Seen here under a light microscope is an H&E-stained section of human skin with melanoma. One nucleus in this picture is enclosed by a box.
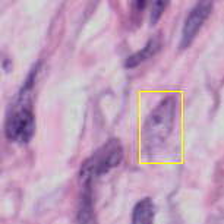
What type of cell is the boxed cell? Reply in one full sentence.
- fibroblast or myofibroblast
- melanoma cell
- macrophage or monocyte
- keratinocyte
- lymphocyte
In the context of this tissue, the boxed cell is a fibroblast or myofibroblast.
